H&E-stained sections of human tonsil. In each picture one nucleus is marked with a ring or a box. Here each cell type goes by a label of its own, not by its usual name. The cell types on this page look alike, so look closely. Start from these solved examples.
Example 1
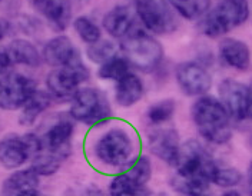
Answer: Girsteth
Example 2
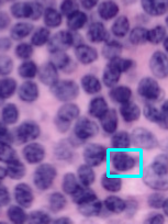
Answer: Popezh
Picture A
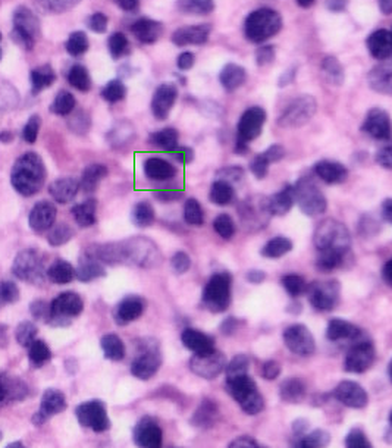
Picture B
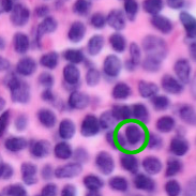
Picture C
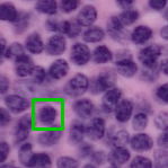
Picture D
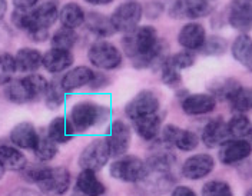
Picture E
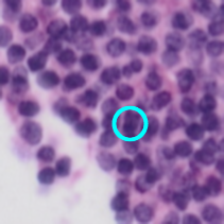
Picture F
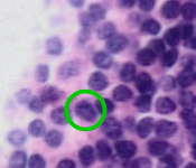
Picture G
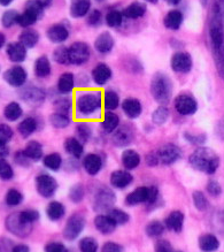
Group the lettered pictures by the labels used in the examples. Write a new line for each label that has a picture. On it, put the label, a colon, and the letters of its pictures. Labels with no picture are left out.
Girsteth: A
Popezh: B, C, D, E, F, G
